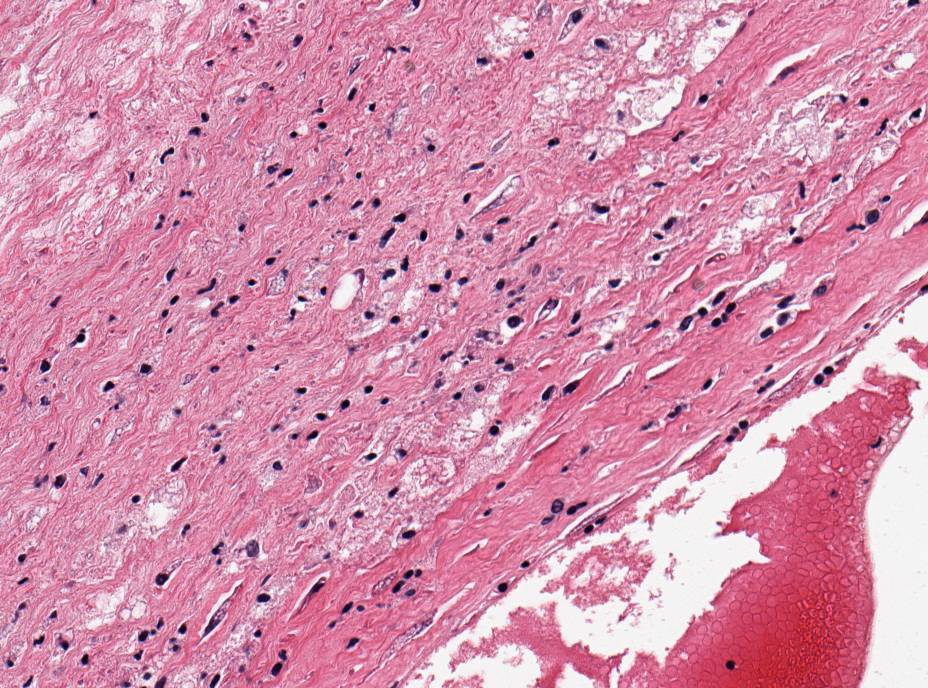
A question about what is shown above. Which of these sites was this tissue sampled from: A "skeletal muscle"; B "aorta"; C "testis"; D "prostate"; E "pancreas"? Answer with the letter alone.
B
